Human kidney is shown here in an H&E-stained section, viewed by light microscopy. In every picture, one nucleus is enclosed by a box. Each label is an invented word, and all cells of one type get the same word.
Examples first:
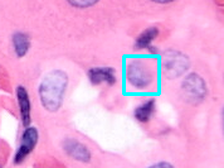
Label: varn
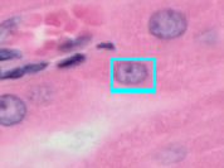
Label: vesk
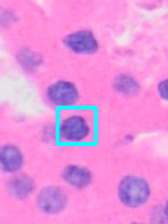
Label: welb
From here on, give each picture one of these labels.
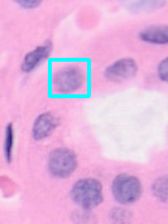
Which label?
varn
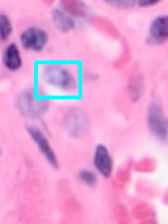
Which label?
welb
